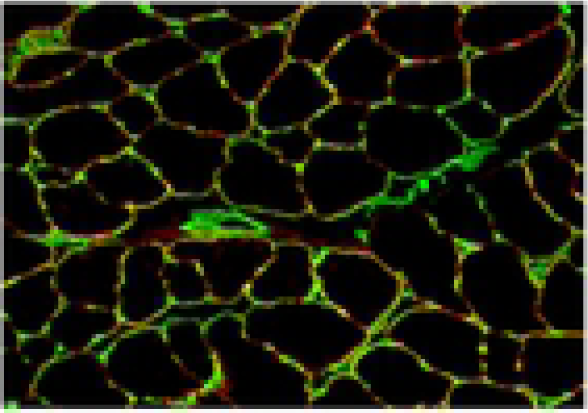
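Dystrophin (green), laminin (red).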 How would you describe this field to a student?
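A cross section of skeletal muscle showing many fibers cut transversely as polygonal profiles packed closely together. Each fiber has a dark, unstained interior and is rimmed by a thin continuous line in green with red alongside, giving a yellow-orange honeycomb pattern. Fibers vary somewhat in size and shape. A few thicker green patches sit between fibers, likely small vessels or connective tissue.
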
